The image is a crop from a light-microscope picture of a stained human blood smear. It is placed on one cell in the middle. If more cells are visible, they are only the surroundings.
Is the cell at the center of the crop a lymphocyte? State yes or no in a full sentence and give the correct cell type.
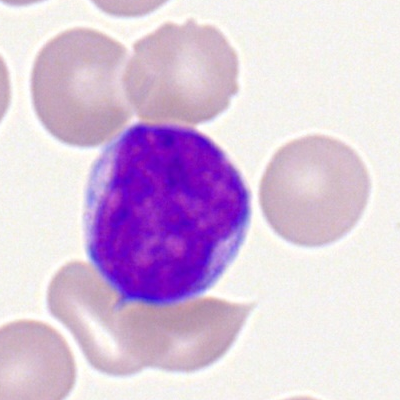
No, the centered cell is a myeloblast and not a lymphocyte at all.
